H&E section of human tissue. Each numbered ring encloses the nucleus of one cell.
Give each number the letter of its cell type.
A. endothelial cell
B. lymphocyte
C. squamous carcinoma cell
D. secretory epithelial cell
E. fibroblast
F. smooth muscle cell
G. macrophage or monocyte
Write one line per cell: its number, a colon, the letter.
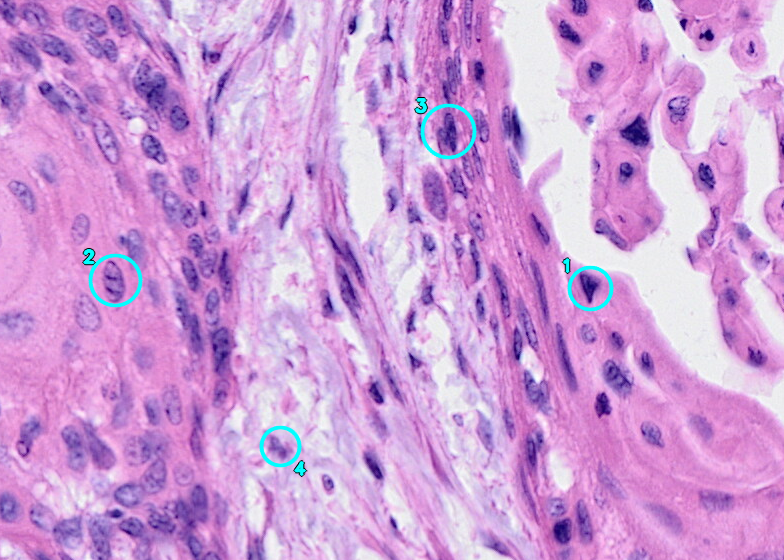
1: C
2: C
3: C
4: E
